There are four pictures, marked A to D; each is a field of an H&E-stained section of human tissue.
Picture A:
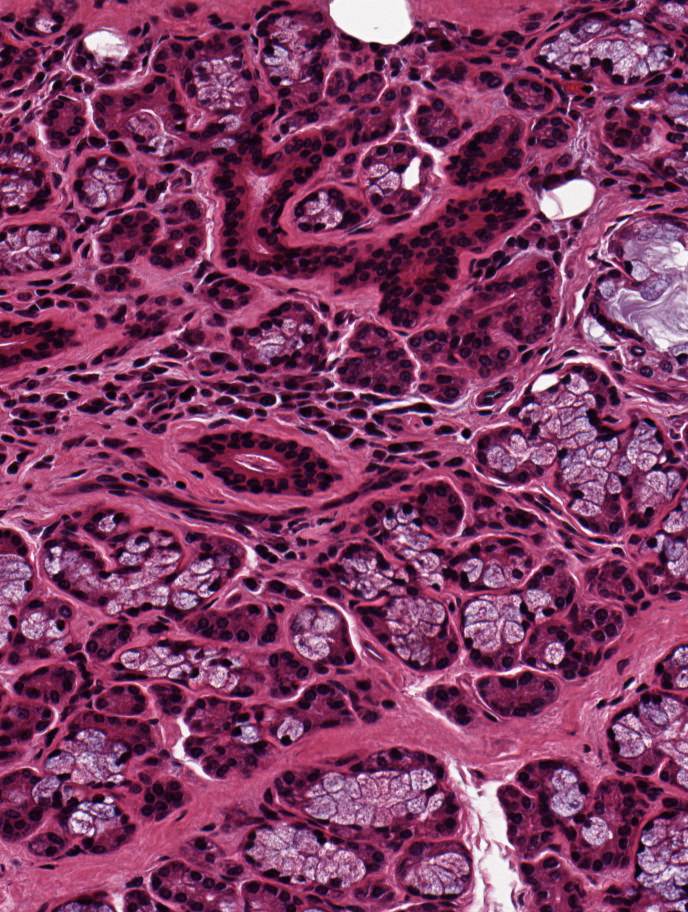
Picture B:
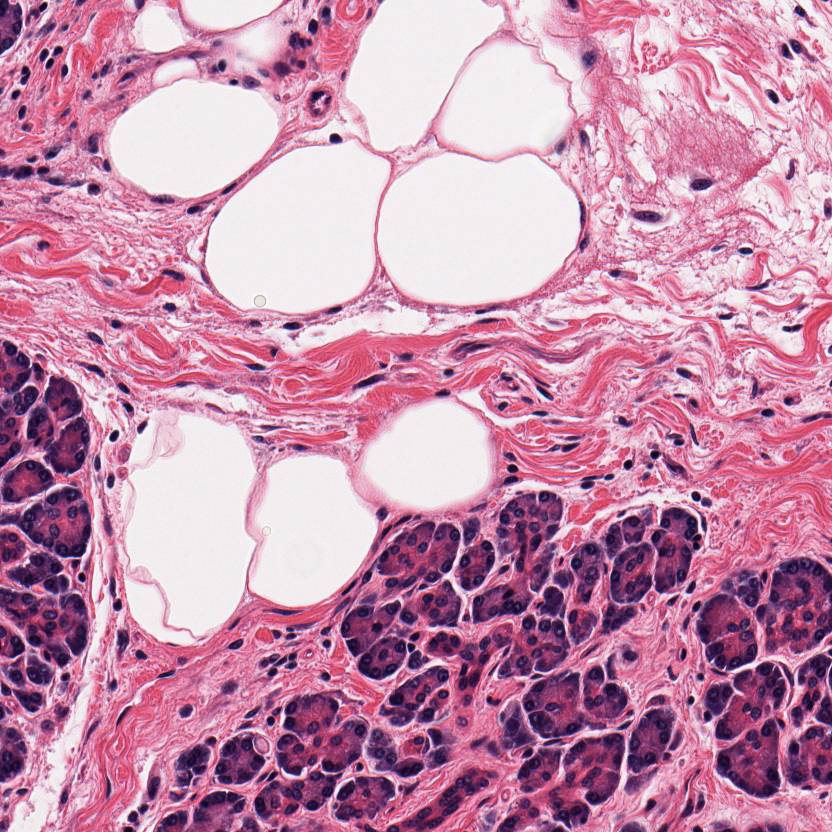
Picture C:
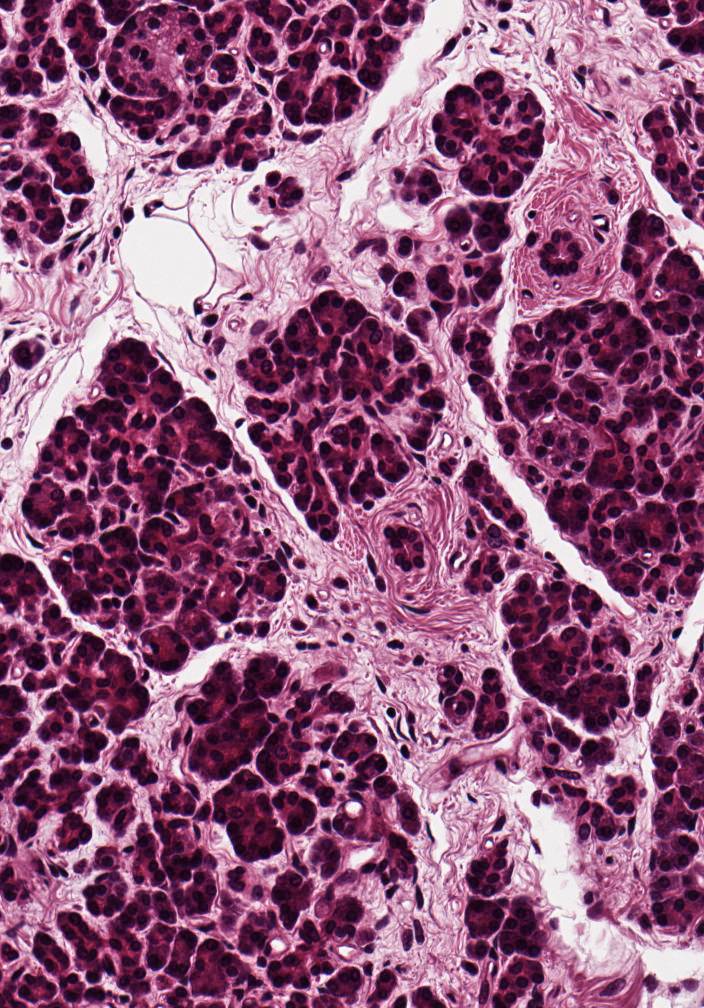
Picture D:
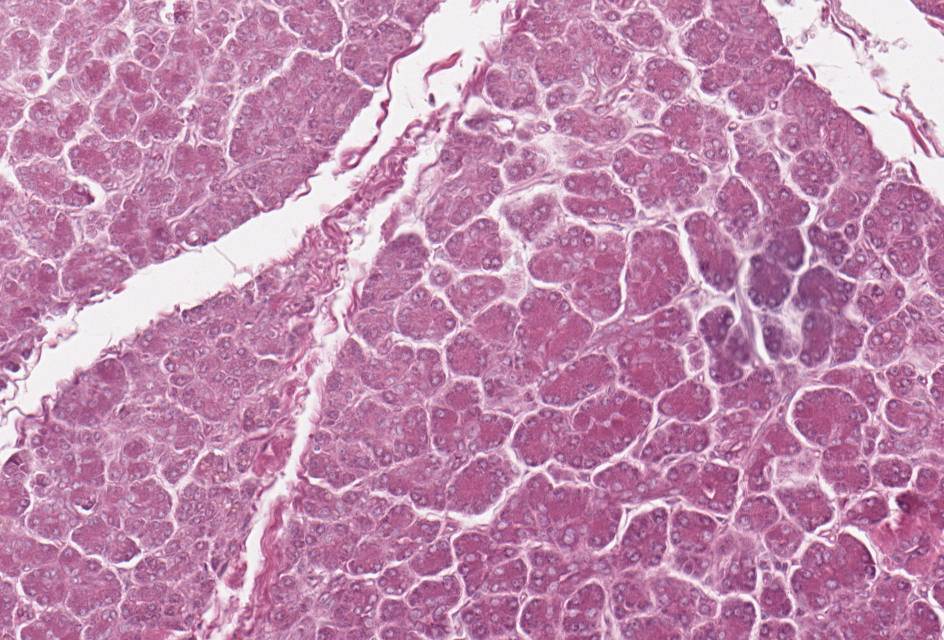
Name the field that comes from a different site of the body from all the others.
A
